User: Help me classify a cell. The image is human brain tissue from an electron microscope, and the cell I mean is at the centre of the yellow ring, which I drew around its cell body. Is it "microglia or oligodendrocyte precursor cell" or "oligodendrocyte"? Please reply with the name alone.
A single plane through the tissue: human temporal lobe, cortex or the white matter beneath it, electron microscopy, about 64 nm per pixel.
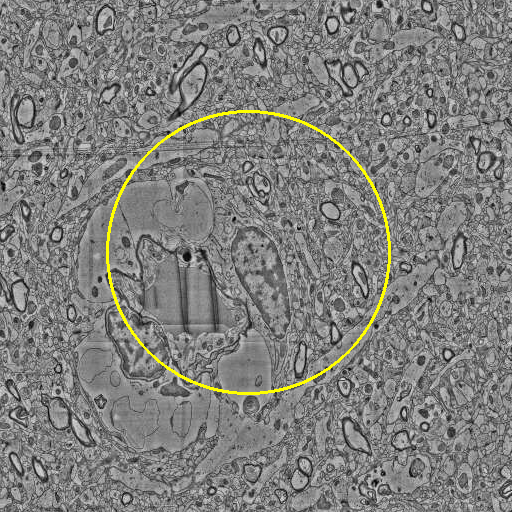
microglia or oligodendrocyte precursor cell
